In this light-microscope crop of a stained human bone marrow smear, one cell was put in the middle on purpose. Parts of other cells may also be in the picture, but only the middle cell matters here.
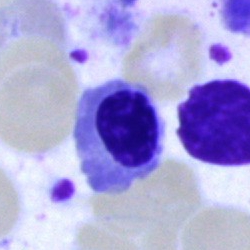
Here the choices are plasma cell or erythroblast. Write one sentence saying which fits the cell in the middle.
At the center of the crop sits an erythroblast.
